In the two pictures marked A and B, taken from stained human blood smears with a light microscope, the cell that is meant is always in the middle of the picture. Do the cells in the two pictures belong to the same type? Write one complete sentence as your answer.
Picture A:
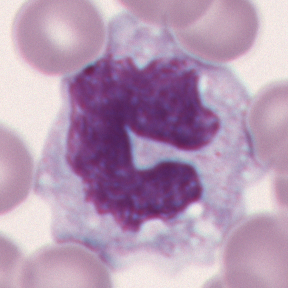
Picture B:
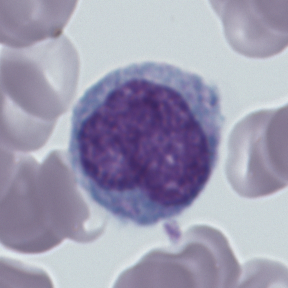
Yes; the cells in both pictures are monocytes.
